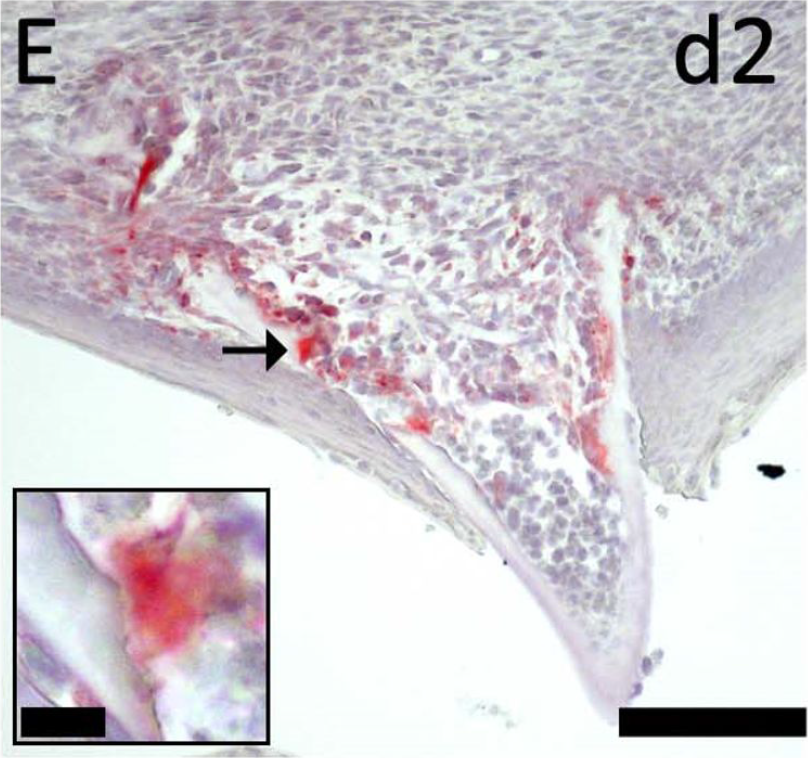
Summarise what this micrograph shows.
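The pulp inside is densely packed with small cells with purple nuclei, and further red-stained cells lie scattered within it. Above, a thick cellular layer with crowded purple nuclei covers the tooth. The inset shows one red-stained cell against the dentin surface.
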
